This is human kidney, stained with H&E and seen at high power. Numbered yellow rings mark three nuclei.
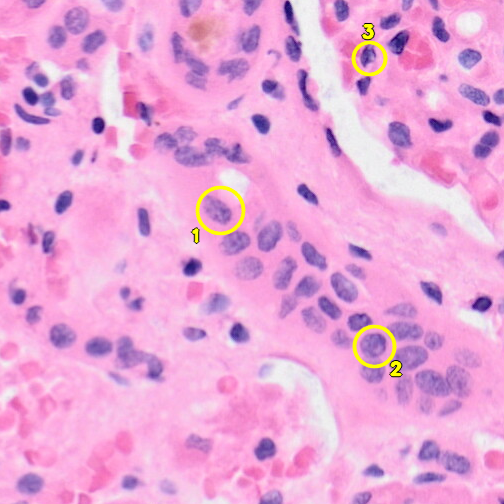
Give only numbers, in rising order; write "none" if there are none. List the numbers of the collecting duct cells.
1, 2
